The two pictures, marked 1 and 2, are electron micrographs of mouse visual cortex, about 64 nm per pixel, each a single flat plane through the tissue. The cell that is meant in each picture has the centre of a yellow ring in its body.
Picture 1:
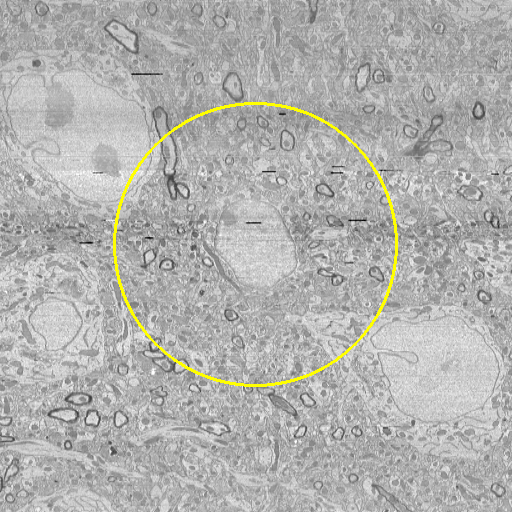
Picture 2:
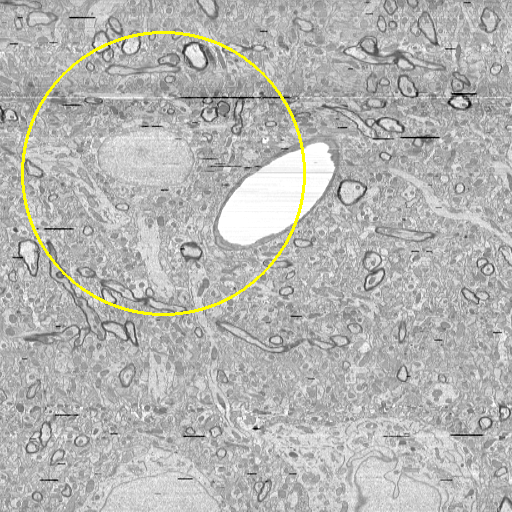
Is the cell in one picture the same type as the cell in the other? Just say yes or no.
yes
